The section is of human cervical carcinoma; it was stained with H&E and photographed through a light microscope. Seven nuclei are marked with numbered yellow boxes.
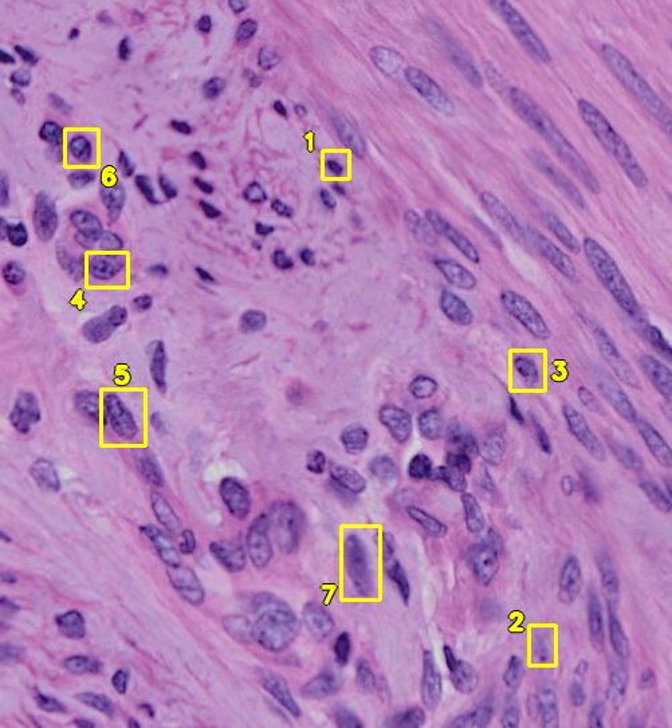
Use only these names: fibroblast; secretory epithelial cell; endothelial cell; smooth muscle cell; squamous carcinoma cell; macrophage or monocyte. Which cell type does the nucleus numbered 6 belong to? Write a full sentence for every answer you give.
Cell 6 of the marked set is an endothelial cell.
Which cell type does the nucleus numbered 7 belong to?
In this section, the cell tagged 7 is a fibroblast.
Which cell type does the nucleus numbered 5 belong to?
Here, the cell given the number 5 is an endothelial cell.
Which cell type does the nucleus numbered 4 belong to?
The cell that bears the number 4 is an endothelial cell.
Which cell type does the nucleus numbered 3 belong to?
Cell 3 in the field of view is a smooth muscle cell.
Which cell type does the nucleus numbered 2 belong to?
To a smooth muscle cell belongs the nucleus marked 2.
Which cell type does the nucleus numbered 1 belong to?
The cell marked with the number 1 is a smooth muscle cell.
